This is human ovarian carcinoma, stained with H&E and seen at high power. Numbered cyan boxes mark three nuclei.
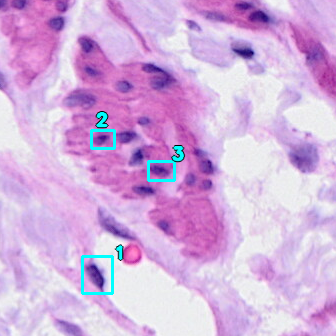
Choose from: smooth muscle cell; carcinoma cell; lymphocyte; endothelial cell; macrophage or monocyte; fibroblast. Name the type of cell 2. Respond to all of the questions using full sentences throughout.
Among the marked cells, number 2 is a smooth muscle cell.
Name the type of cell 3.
The cell to which the number 3 is assigned is a smooth muscle cell.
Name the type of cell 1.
Of the numbered cells, the one labelled 1 is an endothelial cell.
